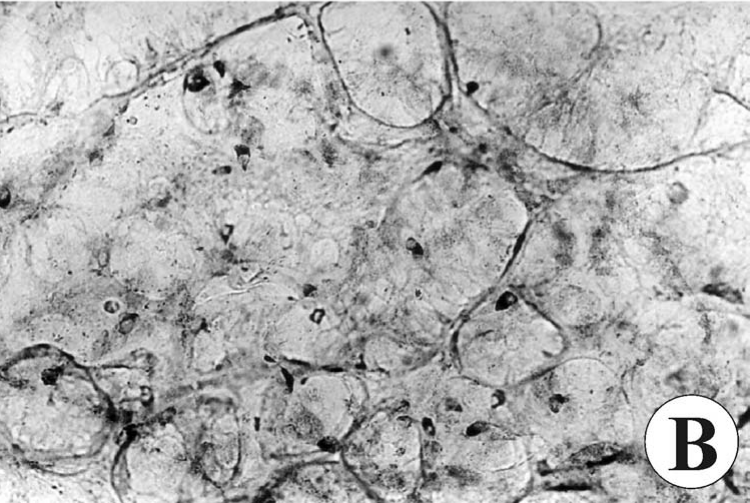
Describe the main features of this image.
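Rounded gland profiles are outlined by thin darker lines, with pale, finely textured cells filling them. Small, darkly stained cells lie singly and scattered, often at the edges of the gland outlines, some triangular or flask-shaped, the rest of the tissue stained only faintly.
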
